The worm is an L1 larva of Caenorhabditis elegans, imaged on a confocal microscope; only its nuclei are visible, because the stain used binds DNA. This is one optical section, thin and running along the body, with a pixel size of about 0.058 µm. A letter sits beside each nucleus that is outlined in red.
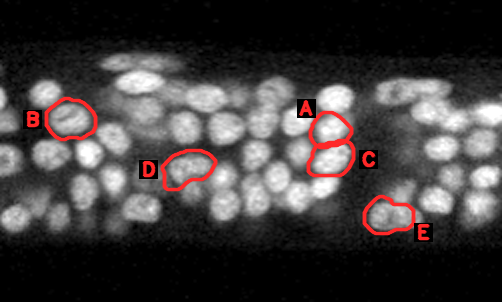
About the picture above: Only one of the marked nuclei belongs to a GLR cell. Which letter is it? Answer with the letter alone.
C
